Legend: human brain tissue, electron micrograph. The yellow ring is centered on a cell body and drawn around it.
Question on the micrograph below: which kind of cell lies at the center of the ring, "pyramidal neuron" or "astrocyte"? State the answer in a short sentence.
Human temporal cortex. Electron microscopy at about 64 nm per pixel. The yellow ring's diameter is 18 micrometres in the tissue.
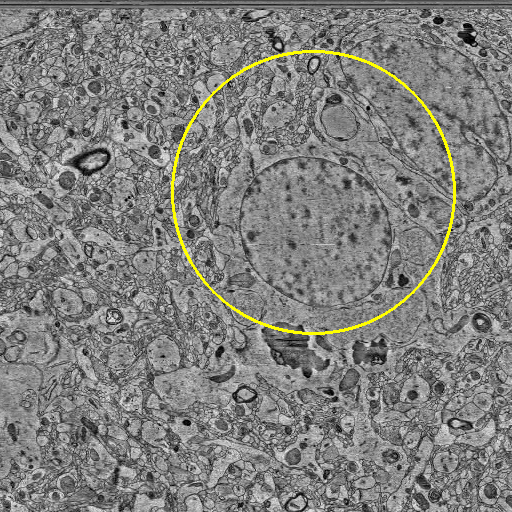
At the center of the ring lies an astrocyte.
